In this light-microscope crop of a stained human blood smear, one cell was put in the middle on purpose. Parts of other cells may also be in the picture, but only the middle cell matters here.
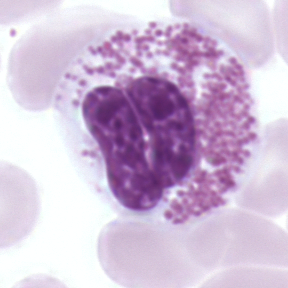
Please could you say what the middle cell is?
eosinophil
